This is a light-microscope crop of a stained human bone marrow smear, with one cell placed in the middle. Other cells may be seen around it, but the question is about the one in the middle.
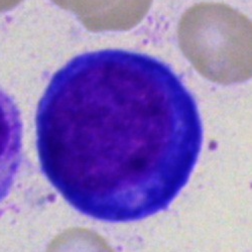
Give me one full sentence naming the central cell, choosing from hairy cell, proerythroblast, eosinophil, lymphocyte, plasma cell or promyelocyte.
Positioned in the middle of the crop is a proerythroblast.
